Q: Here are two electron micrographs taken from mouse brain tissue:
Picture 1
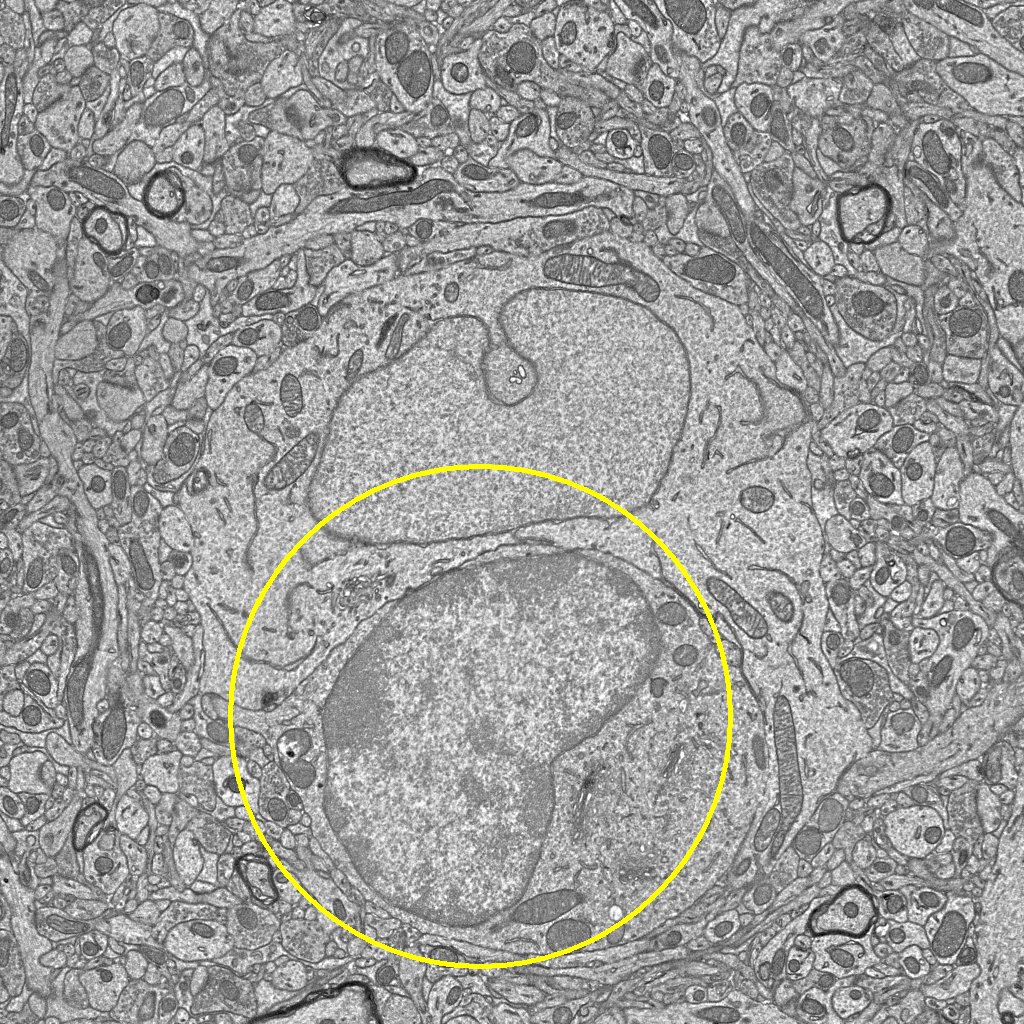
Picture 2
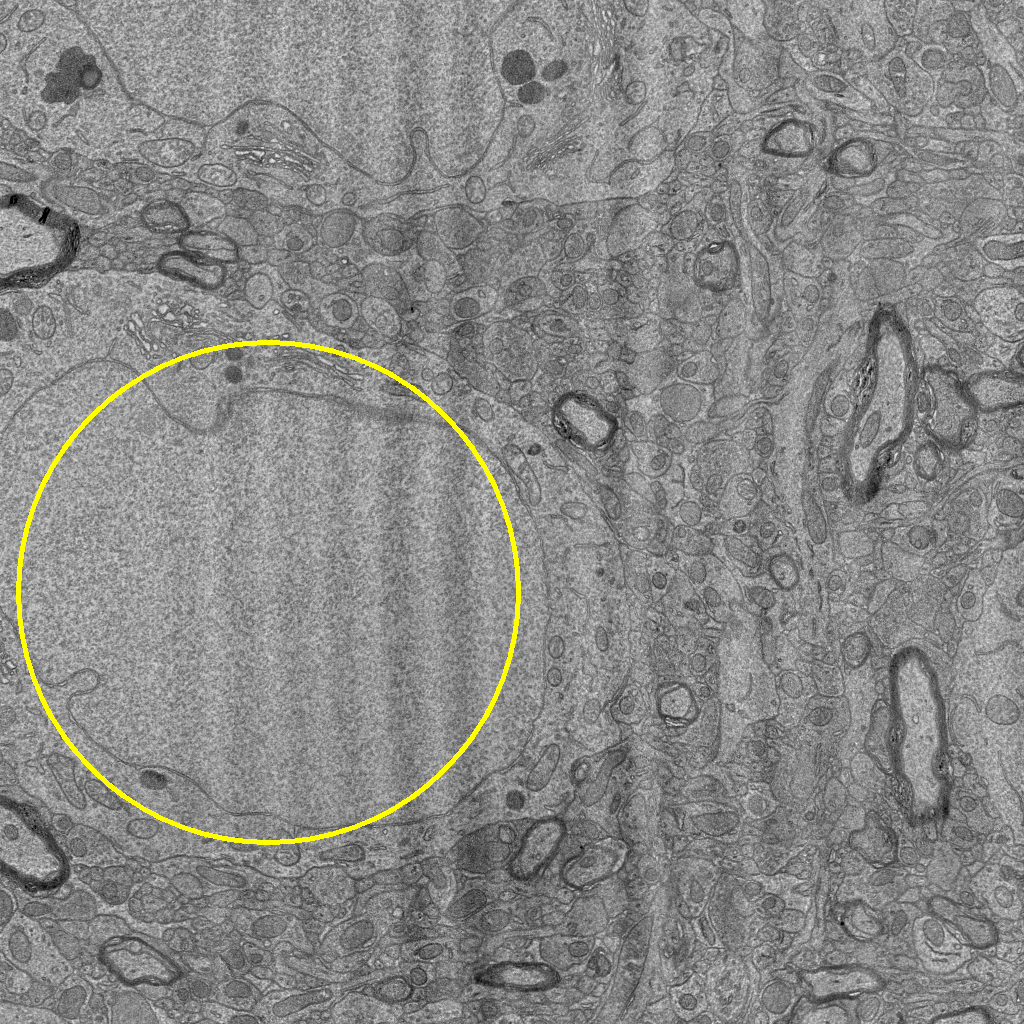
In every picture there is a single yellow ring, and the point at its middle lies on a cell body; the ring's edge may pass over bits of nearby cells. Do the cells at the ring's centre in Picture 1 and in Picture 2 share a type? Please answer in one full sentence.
No, the cells at the ring's centre in Picture 1 and Picture 2 are of two types.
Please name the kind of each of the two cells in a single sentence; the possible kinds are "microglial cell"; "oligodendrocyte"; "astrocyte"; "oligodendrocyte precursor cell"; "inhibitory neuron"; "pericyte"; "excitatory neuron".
For the first picture it is an oligodendrocyte; for the second, an excitatory neuron.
